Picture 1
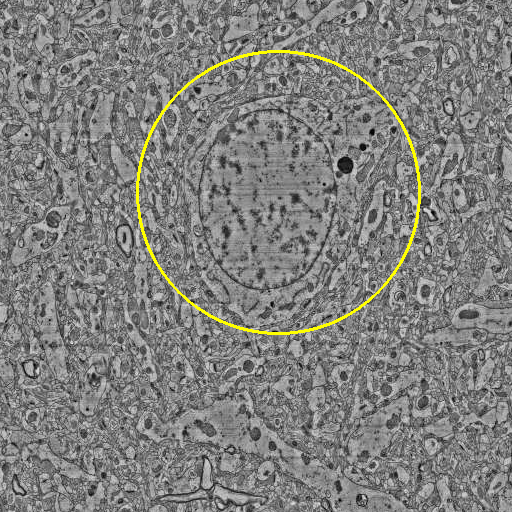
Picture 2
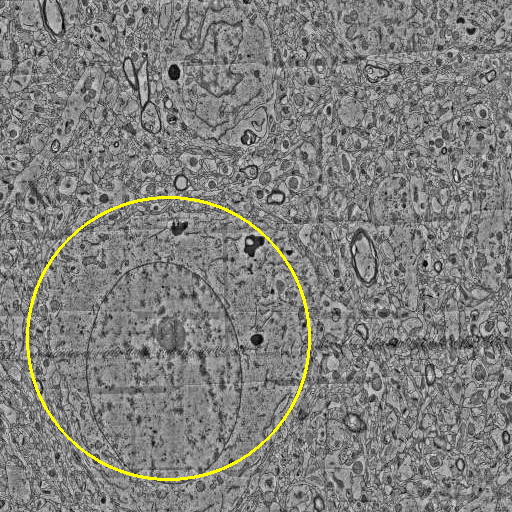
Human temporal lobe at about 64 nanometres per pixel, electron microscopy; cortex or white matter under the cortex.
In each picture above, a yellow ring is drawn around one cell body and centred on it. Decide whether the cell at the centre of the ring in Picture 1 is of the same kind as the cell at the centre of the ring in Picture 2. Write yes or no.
yes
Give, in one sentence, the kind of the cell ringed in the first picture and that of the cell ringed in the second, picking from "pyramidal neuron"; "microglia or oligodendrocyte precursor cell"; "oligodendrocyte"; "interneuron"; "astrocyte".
The ring centre holds a pyramidal neuron in each of the two pictures.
